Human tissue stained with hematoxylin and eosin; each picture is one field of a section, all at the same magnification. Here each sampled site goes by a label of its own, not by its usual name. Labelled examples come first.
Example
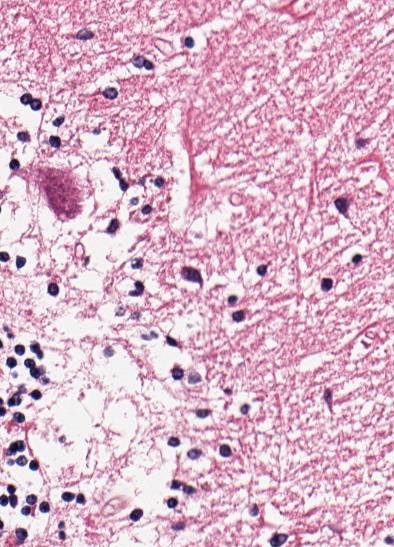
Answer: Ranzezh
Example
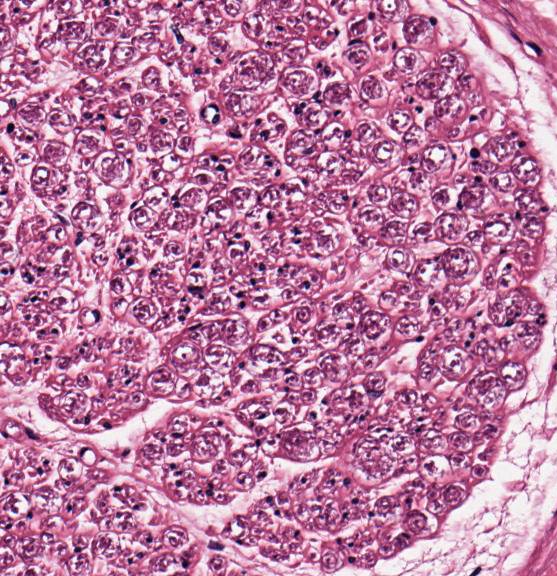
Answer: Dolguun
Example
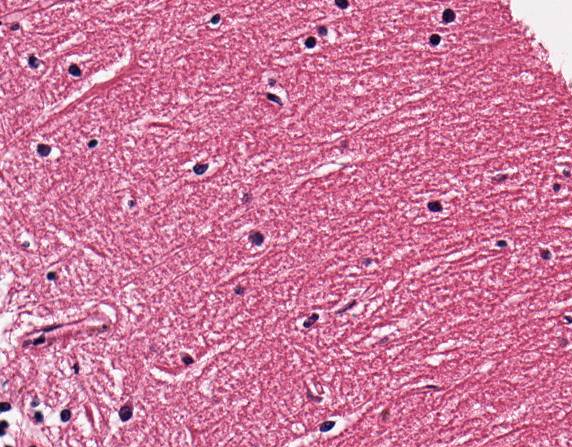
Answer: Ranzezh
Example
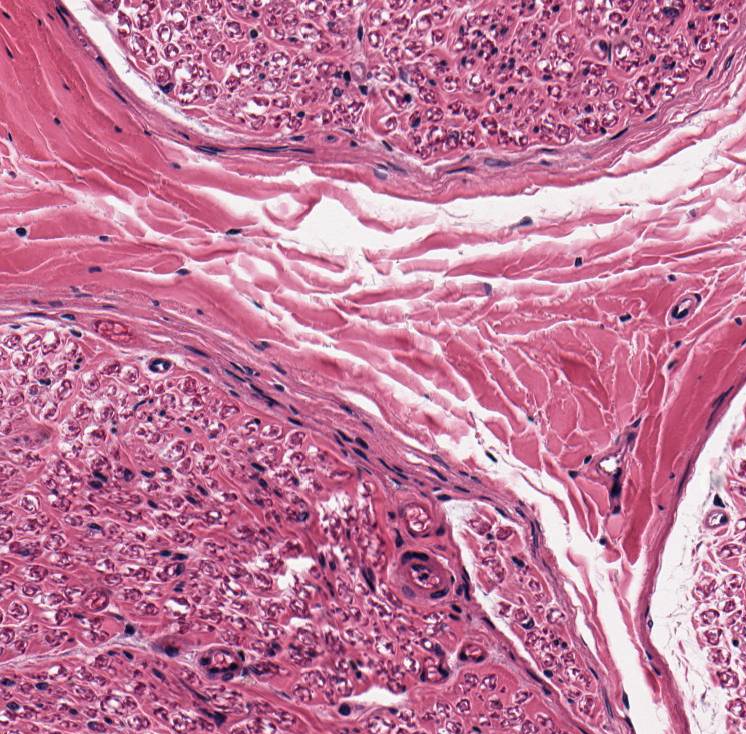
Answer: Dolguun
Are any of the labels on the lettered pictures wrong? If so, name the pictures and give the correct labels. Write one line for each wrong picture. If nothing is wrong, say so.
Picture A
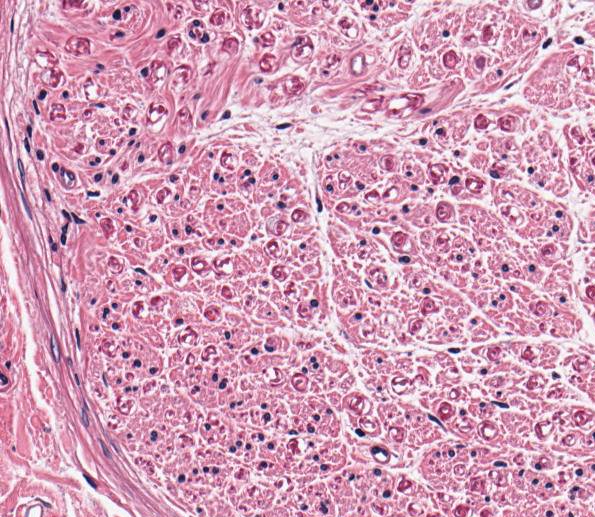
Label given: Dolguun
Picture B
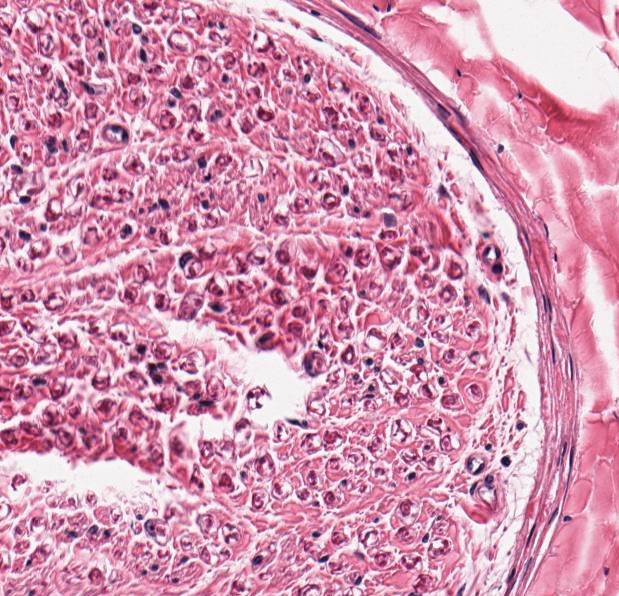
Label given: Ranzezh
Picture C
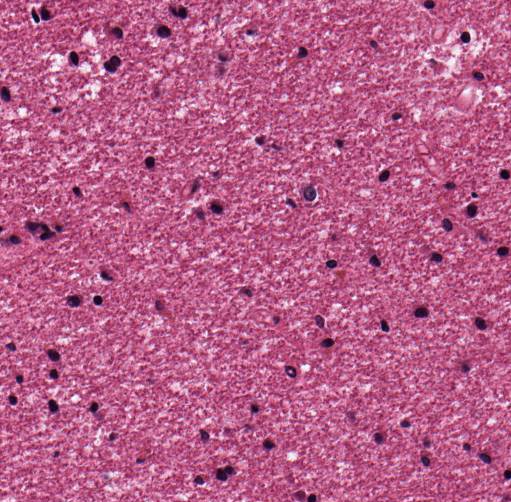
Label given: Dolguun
Wrong: B (Ranzezh); correct: Dolguun
Wrong: C (Dolguun); correct: Ranzezh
